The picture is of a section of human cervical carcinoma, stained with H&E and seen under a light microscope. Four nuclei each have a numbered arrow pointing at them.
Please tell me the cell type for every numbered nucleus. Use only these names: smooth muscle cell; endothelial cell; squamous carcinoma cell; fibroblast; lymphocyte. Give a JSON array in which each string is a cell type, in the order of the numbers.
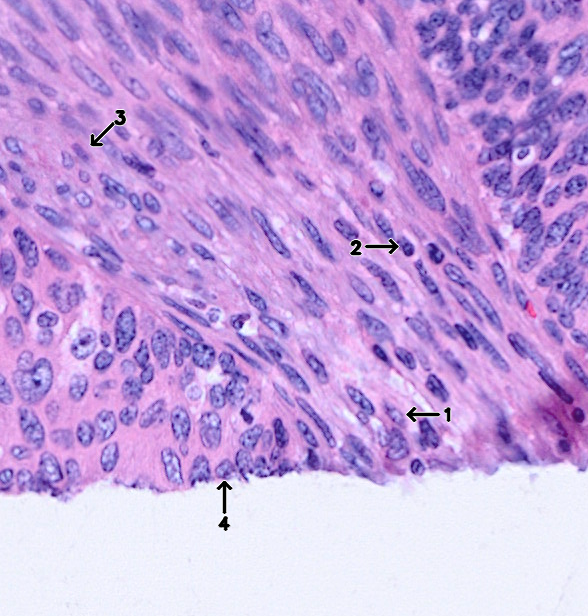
["endothelial cell", "lymphocyte", "smooth muscle cell", "squamous carcinoma cell"]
